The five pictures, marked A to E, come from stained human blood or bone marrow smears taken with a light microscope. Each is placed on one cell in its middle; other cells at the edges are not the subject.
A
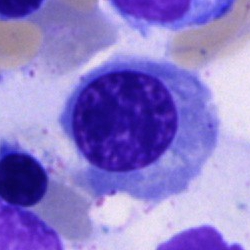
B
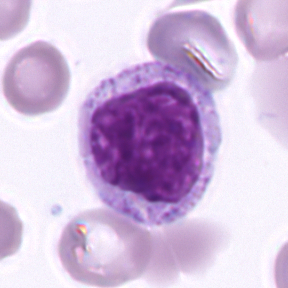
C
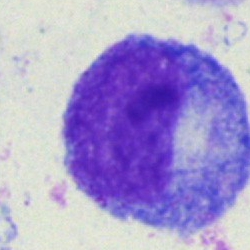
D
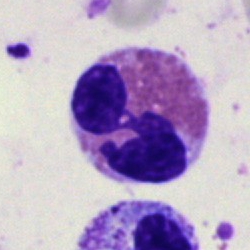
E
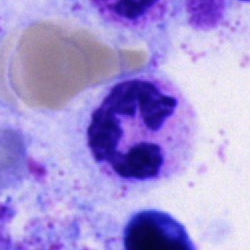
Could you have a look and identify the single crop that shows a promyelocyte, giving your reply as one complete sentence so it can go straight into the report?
Crop C is the single crop that shows a promyelocyte.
